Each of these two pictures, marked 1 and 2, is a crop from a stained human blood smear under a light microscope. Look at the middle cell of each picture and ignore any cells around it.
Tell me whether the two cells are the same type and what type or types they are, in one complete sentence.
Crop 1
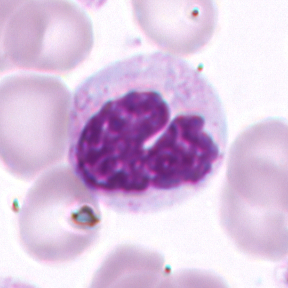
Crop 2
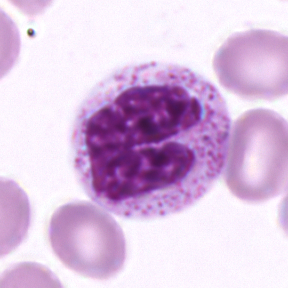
Yes, the two cells in the two crops are band neutrophils.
